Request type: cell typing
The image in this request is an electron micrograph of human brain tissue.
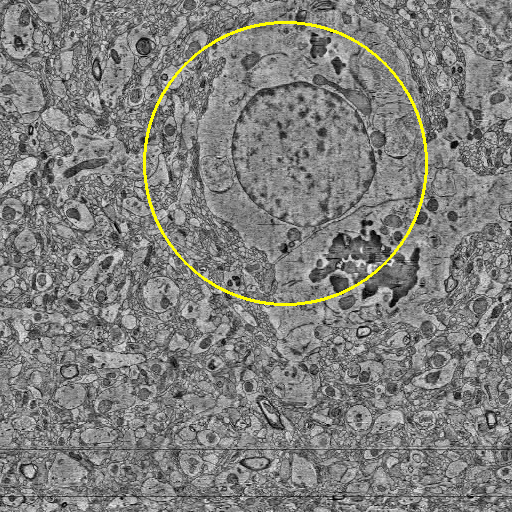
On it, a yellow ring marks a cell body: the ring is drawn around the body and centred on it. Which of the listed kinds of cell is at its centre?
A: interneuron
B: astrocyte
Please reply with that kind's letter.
B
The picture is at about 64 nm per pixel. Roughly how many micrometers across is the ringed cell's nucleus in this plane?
The ringed cell's nucleus is about 9 micrometres across in this plane.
